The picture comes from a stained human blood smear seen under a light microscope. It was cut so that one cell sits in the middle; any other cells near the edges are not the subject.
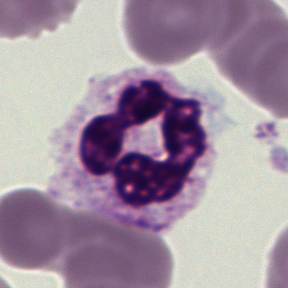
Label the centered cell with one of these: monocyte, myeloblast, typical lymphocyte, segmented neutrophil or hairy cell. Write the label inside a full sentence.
At the crop's centre, the cell is a segmented neutrophil.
